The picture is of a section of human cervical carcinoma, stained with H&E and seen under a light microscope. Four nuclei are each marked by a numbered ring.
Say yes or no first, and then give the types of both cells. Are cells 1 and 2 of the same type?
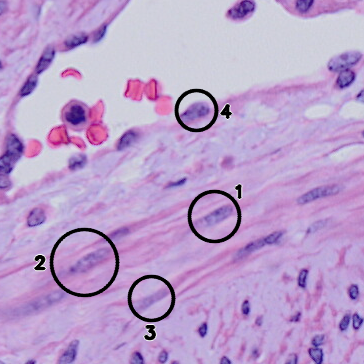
Yes, that is right: cells 1 and 2 are both smooth muscle cells.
